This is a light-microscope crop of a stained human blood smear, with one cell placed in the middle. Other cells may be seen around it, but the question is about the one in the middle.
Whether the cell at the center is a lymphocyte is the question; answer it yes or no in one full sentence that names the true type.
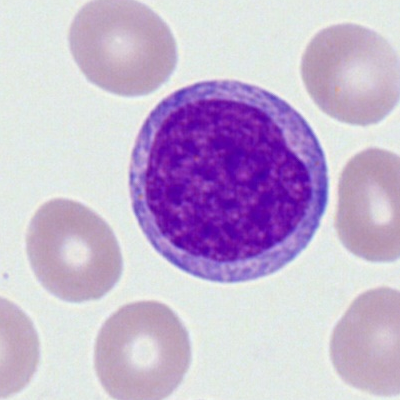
No, wrong label: the middle cell is a blast instead of a lymphocyte.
